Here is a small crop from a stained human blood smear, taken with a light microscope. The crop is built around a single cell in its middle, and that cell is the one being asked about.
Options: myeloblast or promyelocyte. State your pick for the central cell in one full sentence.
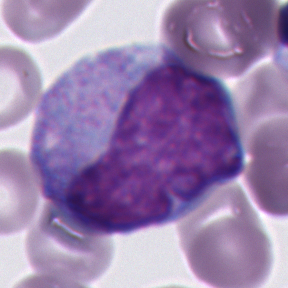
Within this crop, a promyelocyte occupies the central position.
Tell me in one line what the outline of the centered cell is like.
A smooth, projection-free outline is what this cell has.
